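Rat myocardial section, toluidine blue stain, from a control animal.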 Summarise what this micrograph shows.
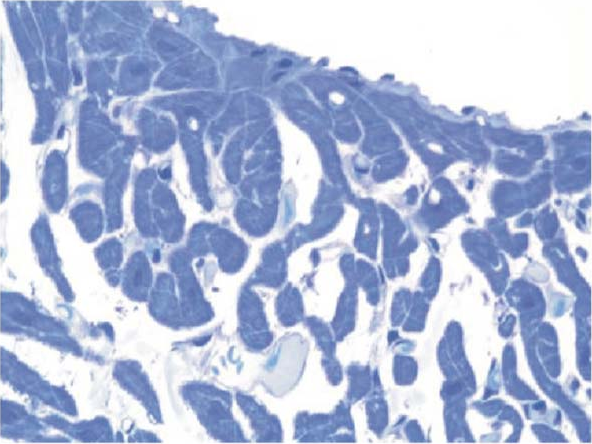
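Along the top runs the pale outer edge of the tissue, and beneath it the fibres are cut at varying angles, some long and branching, some in cross section. Between the fibres lie pale spaces with thin connective tissue and small vessels.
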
